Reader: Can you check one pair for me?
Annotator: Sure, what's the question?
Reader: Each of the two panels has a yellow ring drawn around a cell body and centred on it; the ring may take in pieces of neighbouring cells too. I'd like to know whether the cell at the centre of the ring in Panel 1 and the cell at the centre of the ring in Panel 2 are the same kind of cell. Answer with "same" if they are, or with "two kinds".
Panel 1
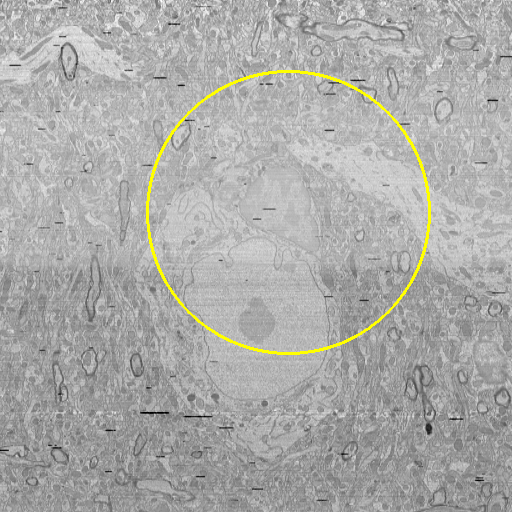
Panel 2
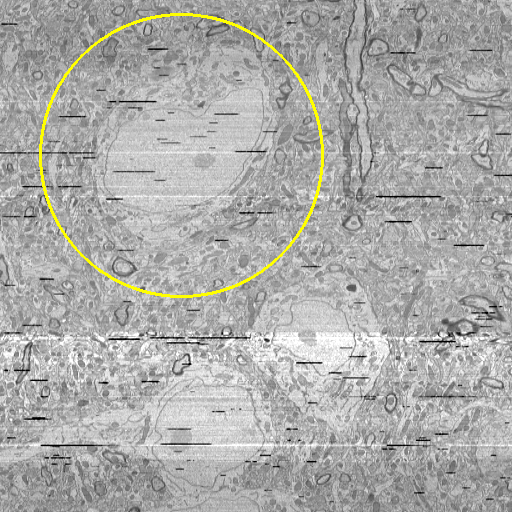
two kinds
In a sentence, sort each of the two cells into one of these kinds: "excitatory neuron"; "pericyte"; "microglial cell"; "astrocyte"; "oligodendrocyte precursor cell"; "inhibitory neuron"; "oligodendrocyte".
The first of the two cells is a microglial cell, and the second is an excitatory neuron.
